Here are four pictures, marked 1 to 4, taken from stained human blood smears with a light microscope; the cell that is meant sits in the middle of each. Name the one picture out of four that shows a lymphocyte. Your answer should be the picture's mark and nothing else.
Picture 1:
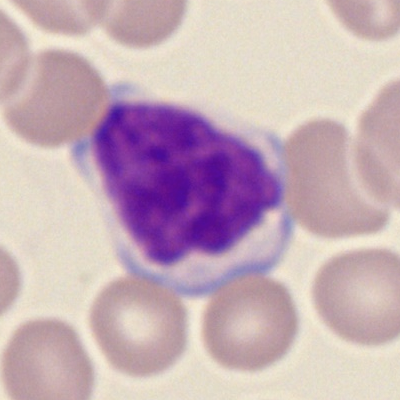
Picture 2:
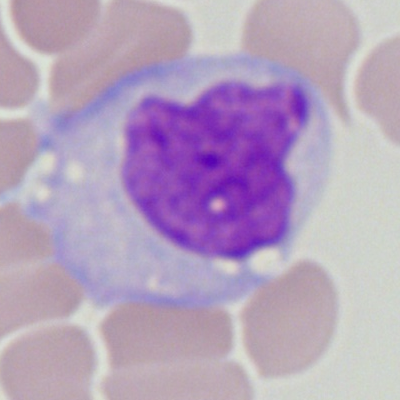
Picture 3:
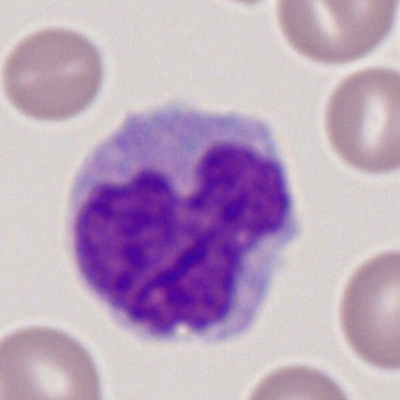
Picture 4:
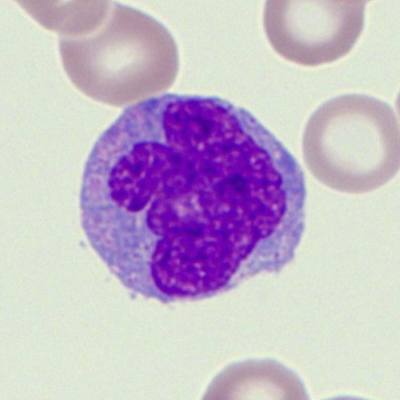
1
